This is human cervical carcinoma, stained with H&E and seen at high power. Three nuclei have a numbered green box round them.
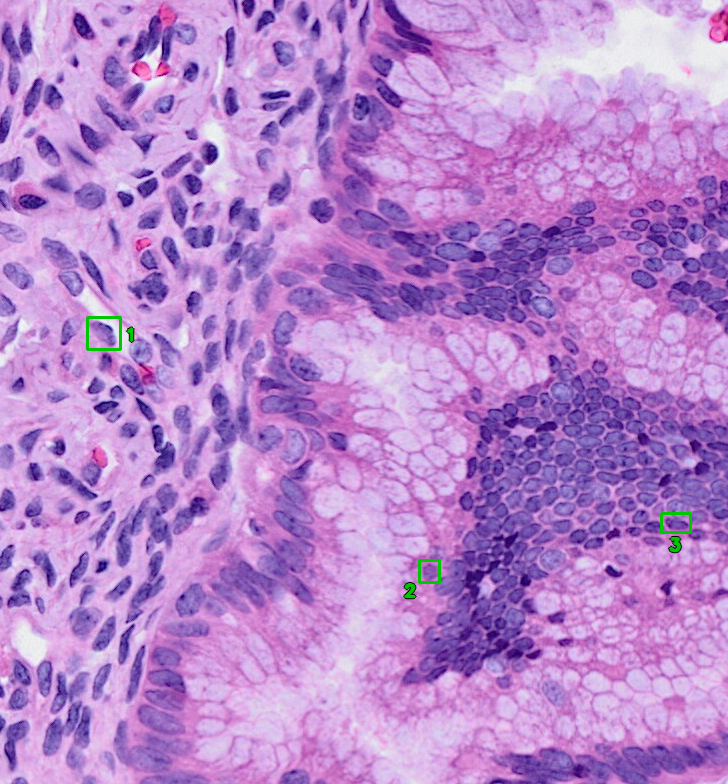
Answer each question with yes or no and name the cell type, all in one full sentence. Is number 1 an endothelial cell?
Yes, an endothelial cell is what the cell numbered 1 is.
